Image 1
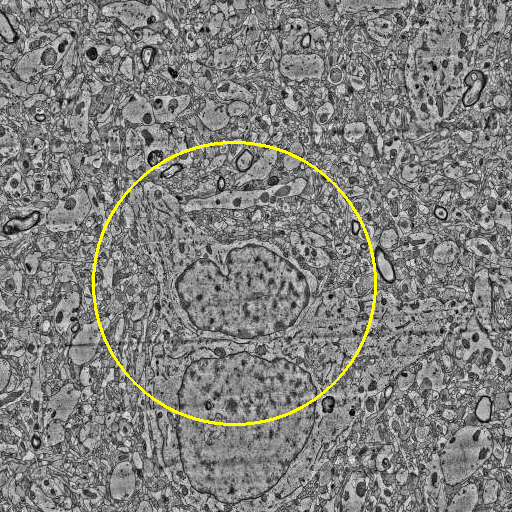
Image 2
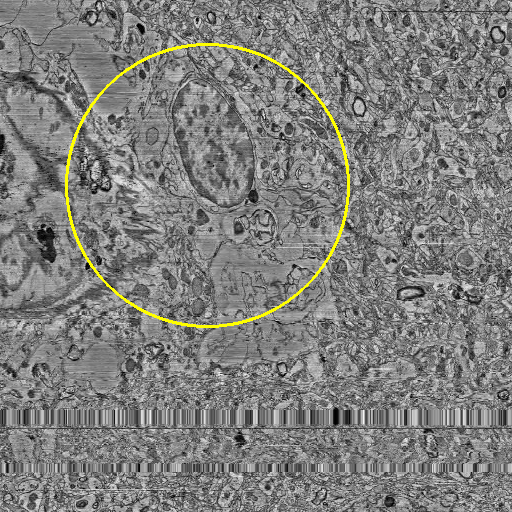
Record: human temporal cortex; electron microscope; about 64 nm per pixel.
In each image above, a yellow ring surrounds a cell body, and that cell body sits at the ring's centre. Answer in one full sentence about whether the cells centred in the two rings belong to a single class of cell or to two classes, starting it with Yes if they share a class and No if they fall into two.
Yes, the cells centred in the two yellow rings belong to a single class of cell.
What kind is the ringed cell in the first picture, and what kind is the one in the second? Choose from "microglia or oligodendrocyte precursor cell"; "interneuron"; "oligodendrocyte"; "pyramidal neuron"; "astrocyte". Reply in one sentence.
Both pictures show a microglial cell or oligodendrocyte precursor cell at the centre of the ring.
